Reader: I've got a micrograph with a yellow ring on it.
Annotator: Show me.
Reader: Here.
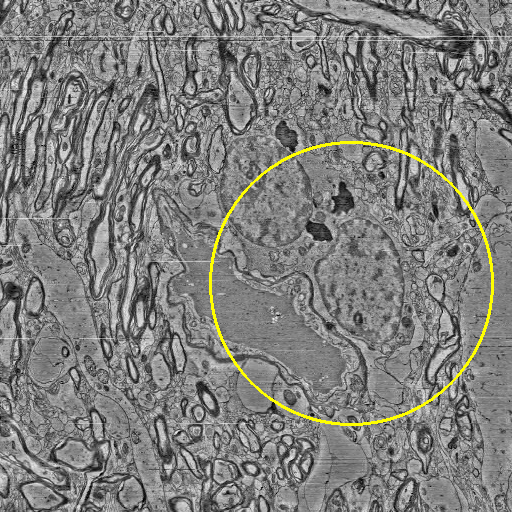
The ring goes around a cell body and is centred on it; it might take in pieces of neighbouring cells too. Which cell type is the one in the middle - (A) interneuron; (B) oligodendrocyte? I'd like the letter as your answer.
B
